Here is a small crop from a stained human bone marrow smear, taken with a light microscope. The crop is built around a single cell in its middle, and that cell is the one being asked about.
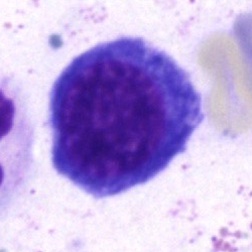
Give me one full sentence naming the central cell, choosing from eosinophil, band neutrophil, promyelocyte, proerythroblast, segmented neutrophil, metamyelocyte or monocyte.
Positioned in the middle of the crop is a proerythroblast.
